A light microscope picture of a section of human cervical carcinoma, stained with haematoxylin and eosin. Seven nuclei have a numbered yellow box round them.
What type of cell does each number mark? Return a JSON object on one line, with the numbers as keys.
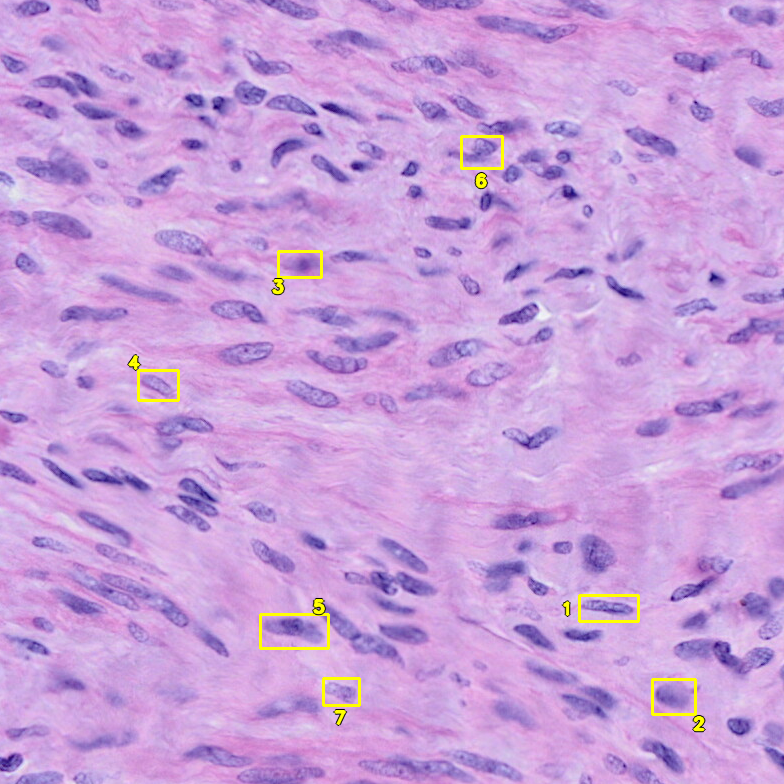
{"1": "fibroblast", "2": "fibroblast", "3": "smooth muscle cell", "4": "smooth muscle cell", "5": "fibroblast", "6": "smooth muscle cell", "7": "fibroblast"}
